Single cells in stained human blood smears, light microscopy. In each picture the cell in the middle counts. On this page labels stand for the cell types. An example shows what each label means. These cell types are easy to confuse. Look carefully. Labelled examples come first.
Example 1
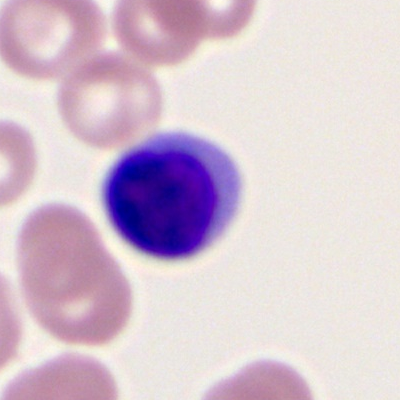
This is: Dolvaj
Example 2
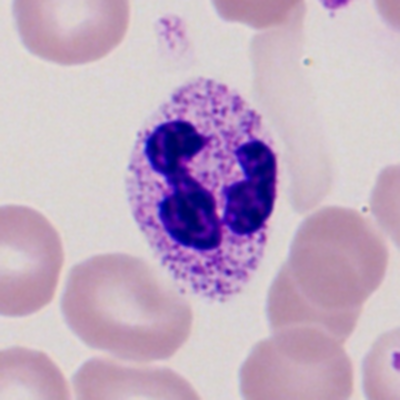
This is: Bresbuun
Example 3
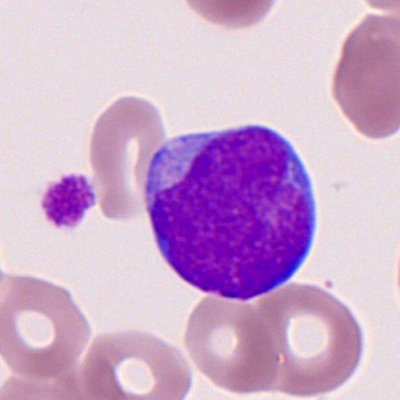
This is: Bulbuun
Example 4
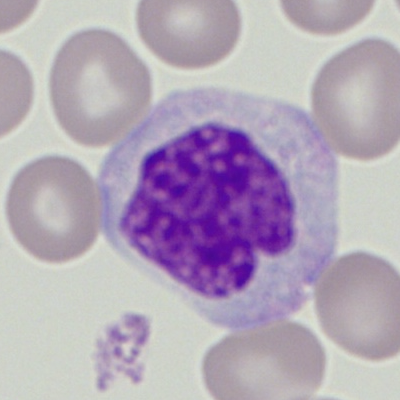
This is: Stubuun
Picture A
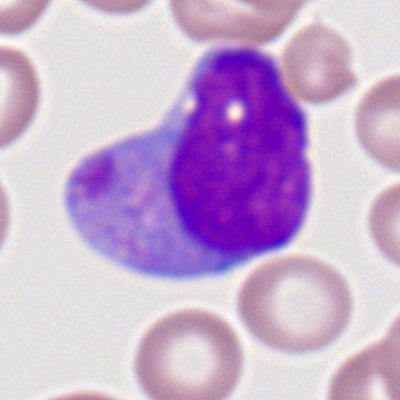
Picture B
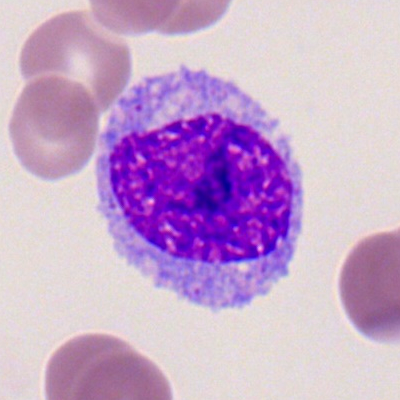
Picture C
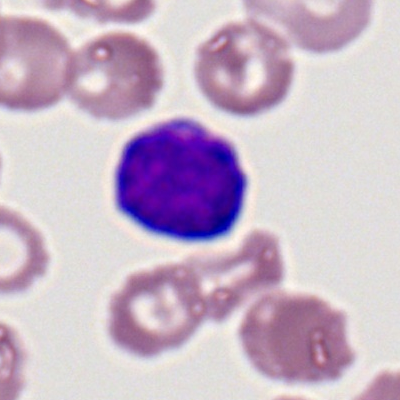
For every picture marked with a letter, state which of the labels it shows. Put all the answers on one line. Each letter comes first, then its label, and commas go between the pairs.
A Stubuun, B Stubuun, C Dolvaj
